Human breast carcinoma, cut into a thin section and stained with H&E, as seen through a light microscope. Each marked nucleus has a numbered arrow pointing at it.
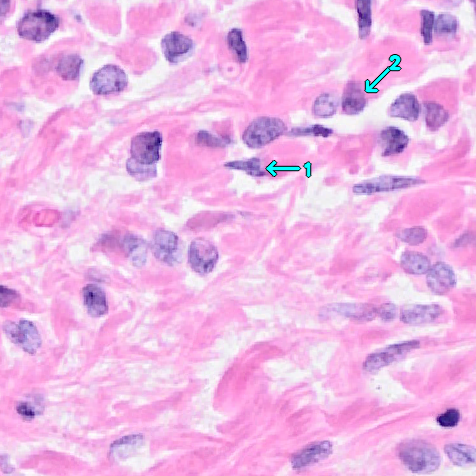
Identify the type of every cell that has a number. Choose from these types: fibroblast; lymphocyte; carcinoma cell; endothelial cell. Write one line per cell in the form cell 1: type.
cell 1: fibroblast
cell 2: carcinoma cell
